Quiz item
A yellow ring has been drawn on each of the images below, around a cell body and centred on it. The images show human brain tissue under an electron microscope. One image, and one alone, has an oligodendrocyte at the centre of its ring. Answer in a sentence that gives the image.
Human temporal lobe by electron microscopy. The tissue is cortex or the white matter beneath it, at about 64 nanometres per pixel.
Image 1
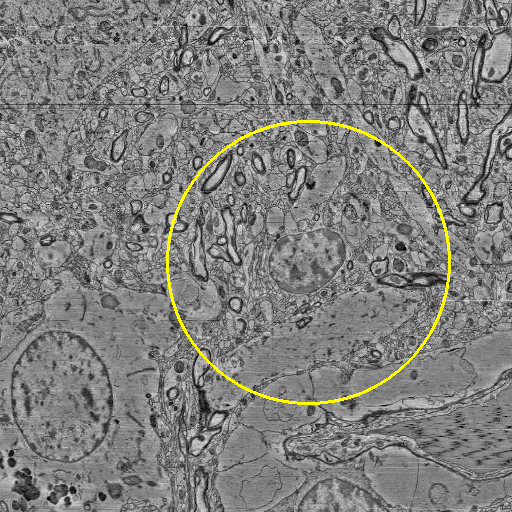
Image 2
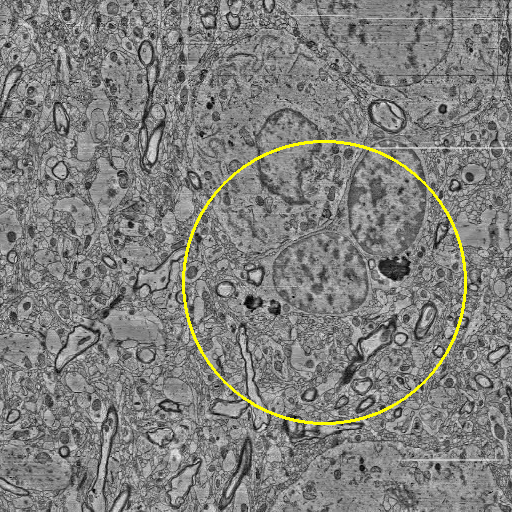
Image 2 shows it at the centre of the ring.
